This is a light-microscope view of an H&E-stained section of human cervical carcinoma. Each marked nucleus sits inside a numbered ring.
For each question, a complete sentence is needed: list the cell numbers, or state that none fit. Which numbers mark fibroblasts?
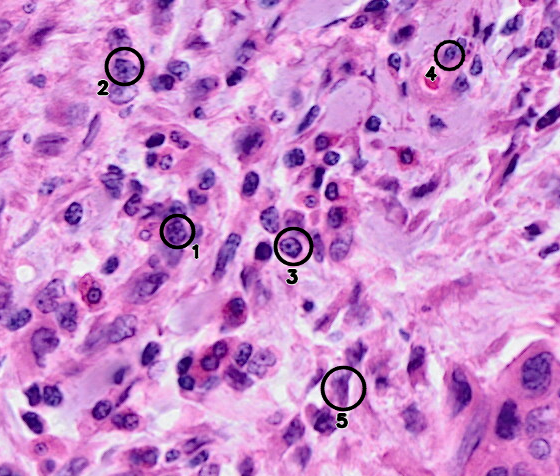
Among the numbered cells, cell 5 alone is a fibroblast.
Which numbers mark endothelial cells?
Exactly one numbered cell is an endothelial cell, and that cell is number 4.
